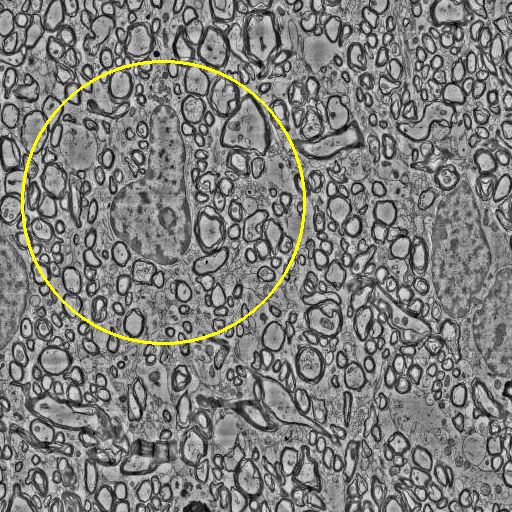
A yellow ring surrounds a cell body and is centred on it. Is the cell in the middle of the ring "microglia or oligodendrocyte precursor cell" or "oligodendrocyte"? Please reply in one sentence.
The ring is centred on a microglial cell or oligodendrocyte precursor cell.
